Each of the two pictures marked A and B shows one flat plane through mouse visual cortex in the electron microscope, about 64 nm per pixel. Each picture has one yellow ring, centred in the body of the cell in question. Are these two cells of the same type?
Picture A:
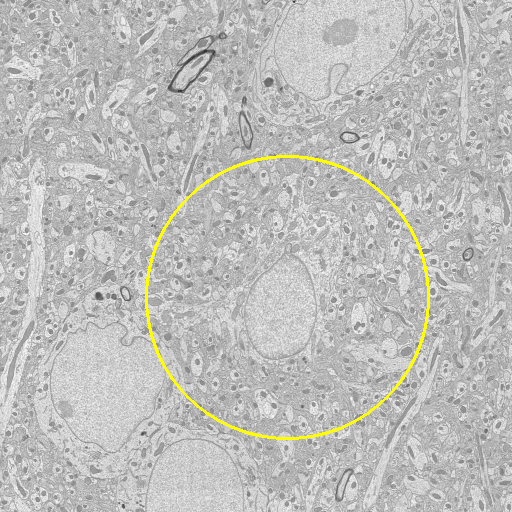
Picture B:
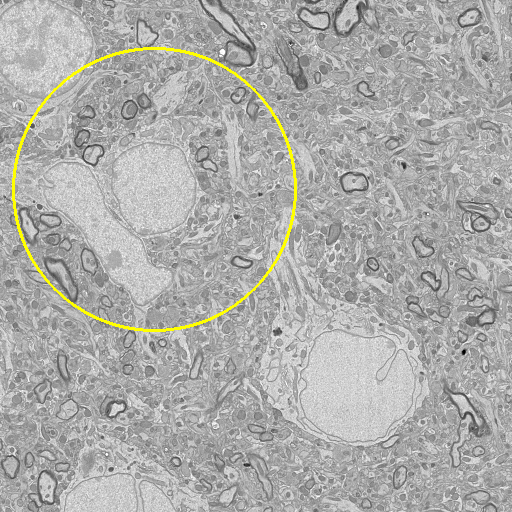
Yes, both are astrocytes.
